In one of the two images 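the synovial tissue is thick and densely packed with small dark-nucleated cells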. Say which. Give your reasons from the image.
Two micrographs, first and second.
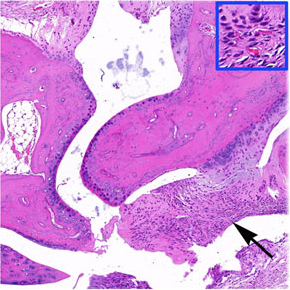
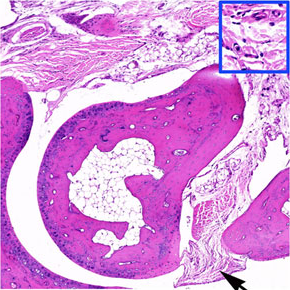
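Second image: the tissue at the arrow is loose, pale and fibrous with few nuclei. First image: the tissue at the arrow is a thick purple band crowded with nuclei. That points to this answer: the first image.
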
